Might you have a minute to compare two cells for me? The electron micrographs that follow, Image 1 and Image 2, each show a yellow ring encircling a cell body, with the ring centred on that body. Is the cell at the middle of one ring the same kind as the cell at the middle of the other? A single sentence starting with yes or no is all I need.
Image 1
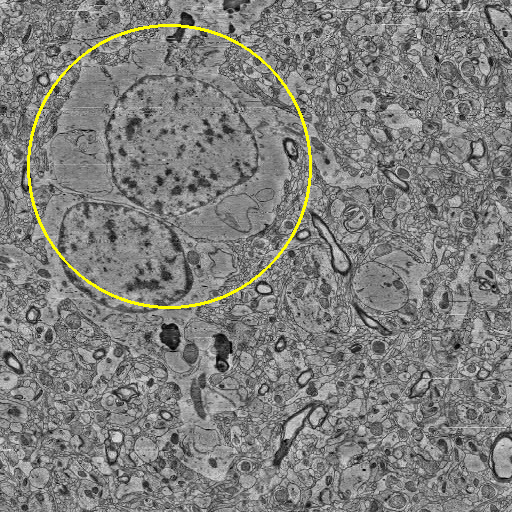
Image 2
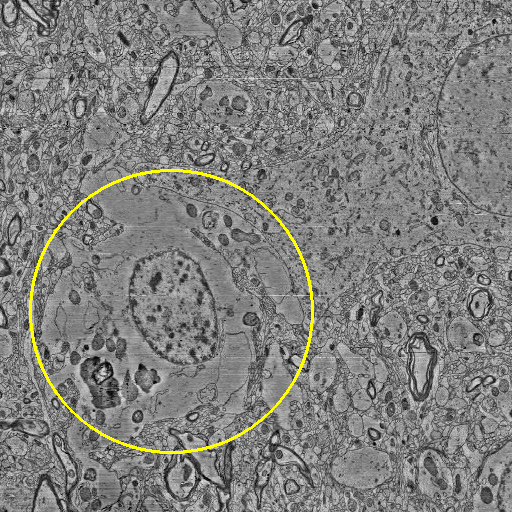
Yes, the cells in the middle of the two rings are of one shared kind.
